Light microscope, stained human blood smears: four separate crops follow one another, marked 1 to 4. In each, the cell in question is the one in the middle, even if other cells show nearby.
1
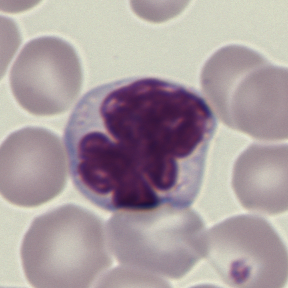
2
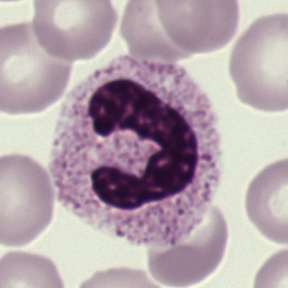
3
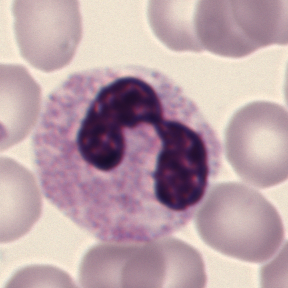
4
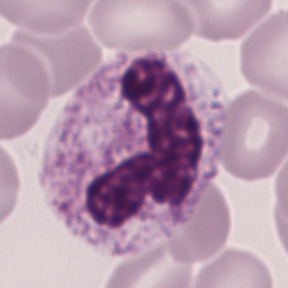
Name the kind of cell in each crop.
1: large granular lymphocyte
2: neutrophil
3: neutrophil
4: neutrophil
